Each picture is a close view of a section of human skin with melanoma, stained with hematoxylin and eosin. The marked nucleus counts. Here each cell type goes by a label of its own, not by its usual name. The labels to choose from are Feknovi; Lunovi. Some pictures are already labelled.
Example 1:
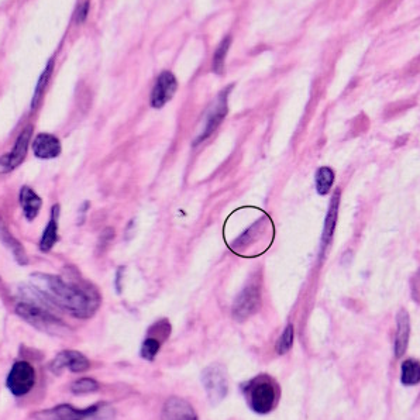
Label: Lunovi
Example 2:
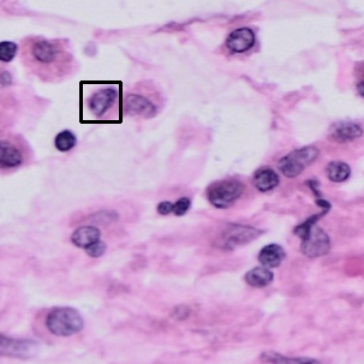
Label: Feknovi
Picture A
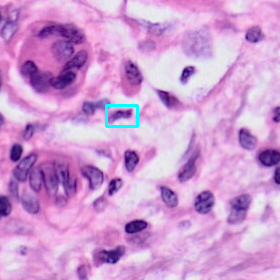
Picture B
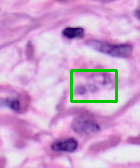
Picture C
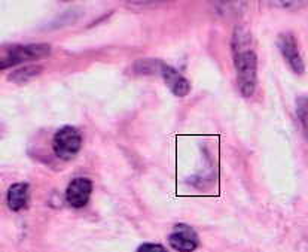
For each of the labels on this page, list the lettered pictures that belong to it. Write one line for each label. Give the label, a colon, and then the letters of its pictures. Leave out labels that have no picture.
Lunovi: A, B, C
